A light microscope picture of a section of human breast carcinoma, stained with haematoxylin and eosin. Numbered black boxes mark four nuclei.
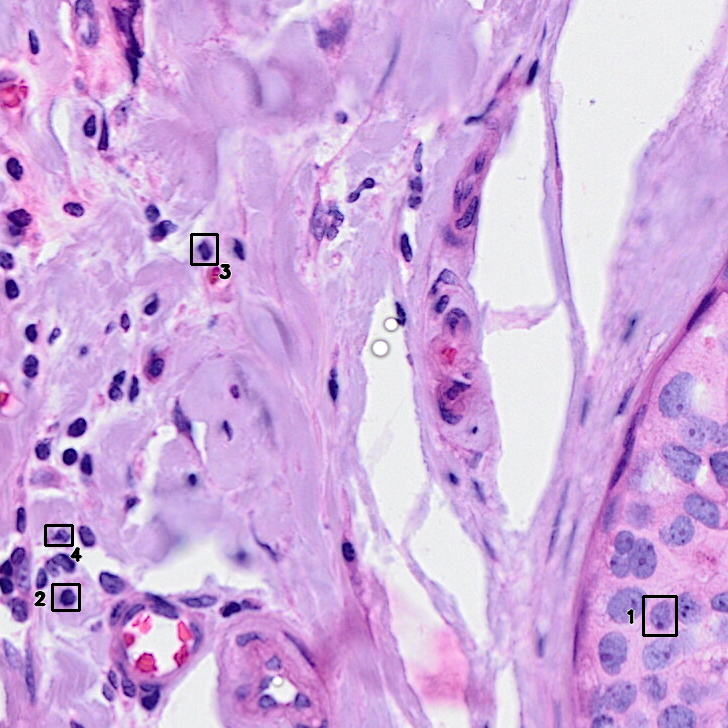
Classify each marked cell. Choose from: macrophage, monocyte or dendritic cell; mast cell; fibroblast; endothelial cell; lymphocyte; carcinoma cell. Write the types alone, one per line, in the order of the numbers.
carcinoma cell
lymphocyte
lymphocyte
lymphocyte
